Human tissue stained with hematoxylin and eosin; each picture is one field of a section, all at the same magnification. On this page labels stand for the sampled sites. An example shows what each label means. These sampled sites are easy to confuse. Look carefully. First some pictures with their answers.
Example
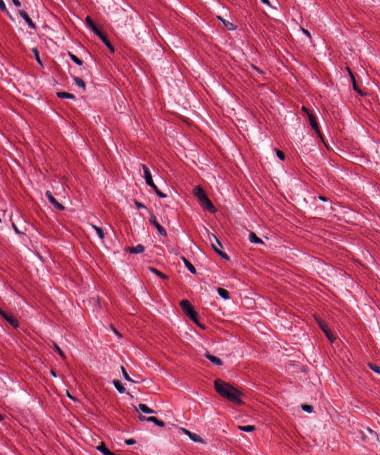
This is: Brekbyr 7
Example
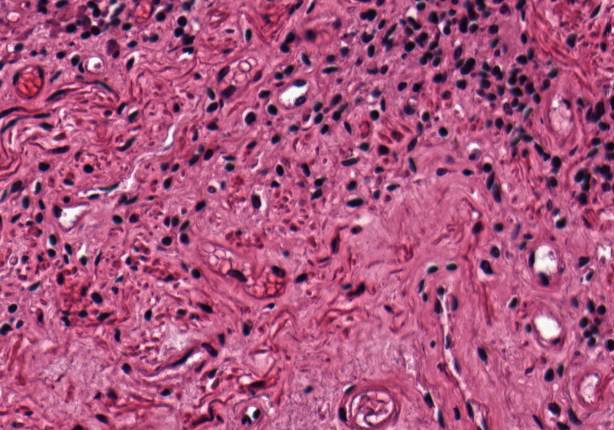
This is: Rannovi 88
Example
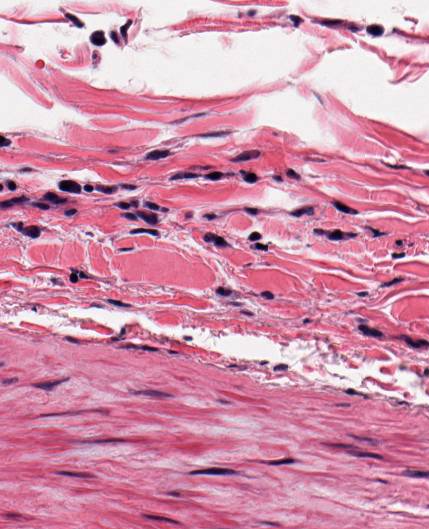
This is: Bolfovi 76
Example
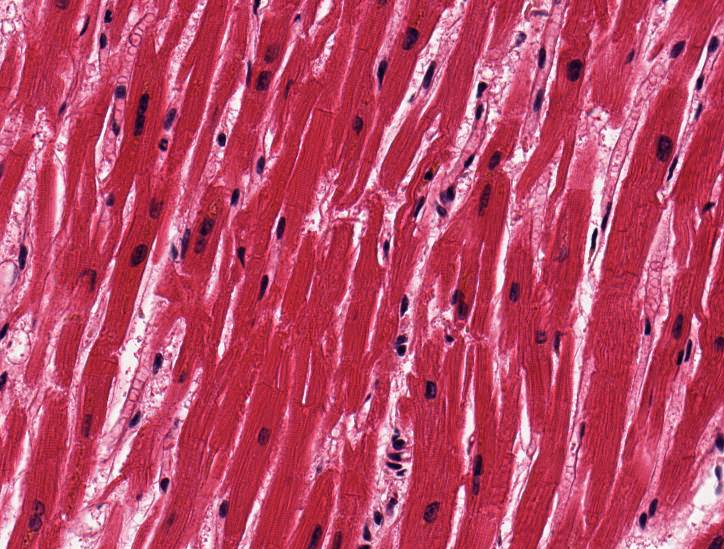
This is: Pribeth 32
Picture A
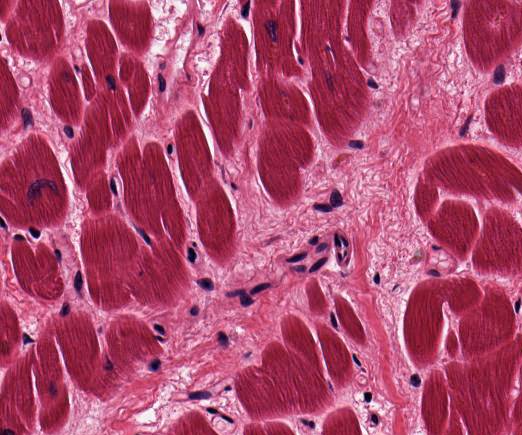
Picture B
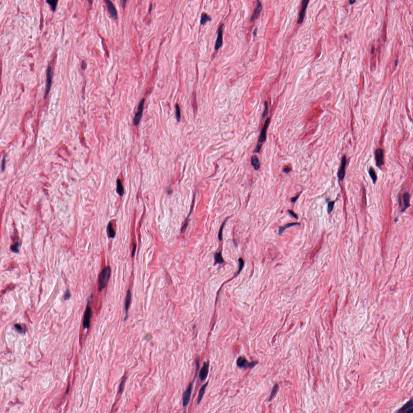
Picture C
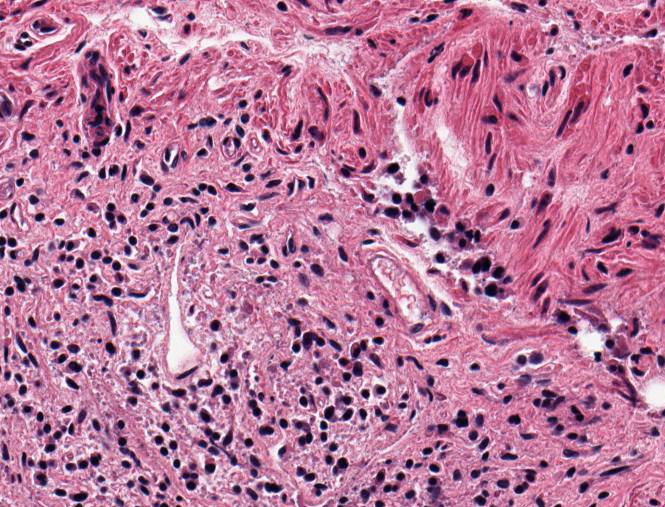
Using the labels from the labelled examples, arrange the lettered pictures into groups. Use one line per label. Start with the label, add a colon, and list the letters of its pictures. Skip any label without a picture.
Rannovi 88: C
Bolfovi 76: B
Pribeth 32: A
